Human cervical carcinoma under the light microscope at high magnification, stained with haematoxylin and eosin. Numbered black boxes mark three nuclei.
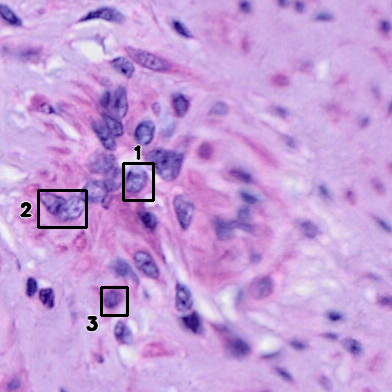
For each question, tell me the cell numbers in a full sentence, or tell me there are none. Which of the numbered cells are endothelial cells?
Identification: the cells with numbers 1 and 2 are endothelial cells.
